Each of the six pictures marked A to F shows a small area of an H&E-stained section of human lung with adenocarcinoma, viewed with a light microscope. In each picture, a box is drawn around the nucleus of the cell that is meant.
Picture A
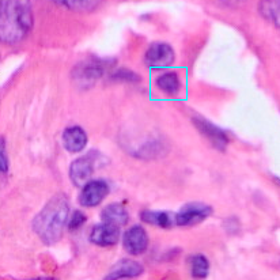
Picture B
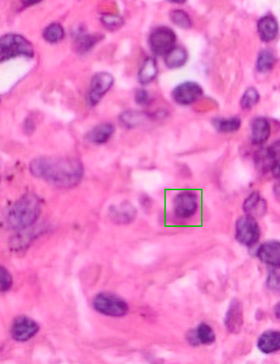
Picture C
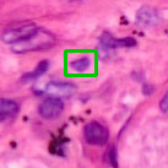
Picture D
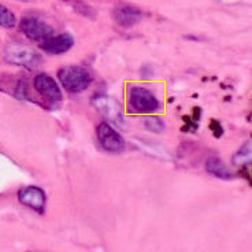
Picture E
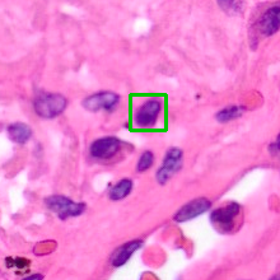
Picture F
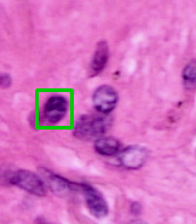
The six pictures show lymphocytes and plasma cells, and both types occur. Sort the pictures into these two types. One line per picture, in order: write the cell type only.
lymphocyte
plasma cell
lymphocyte
plasma cell
plasma cell
plasma cell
